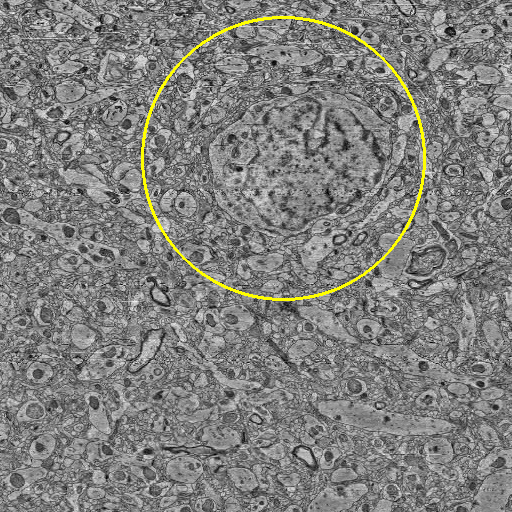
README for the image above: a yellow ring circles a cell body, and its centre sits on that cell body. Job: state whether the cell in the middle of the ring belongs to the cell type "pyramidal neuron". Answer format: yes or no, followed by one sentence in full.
No, in the image, the ring's central cell belongs to another type.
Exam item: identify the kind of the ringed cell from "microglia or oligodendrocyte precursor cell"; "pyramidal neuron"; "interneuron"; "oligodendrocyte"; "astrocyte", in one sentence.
Here, the ring is centred on an interneuron instead.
